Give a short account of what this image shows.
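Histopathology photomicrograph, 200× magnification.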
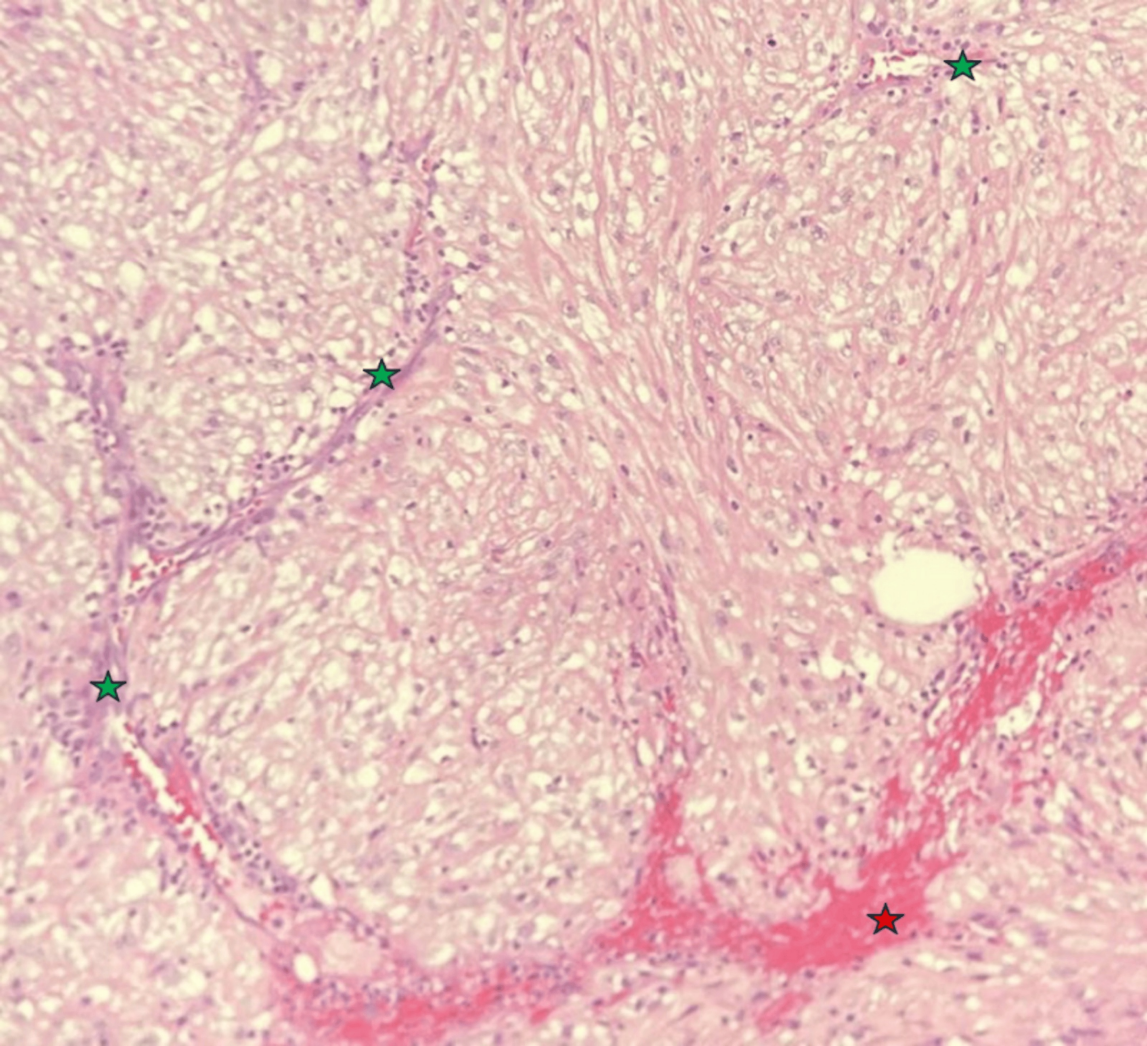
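This is a tumour made of nests of cells with clear, pale, bubbly cytoplasm and small, dark nuclei. Thin septa run between the nests and carry narrow, thin-walled blood vessels, some of which hold red blood cells. Along the lower part of the field there is a band of bright pink-red material with few intact nuclei, marking an area of necrosis.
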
